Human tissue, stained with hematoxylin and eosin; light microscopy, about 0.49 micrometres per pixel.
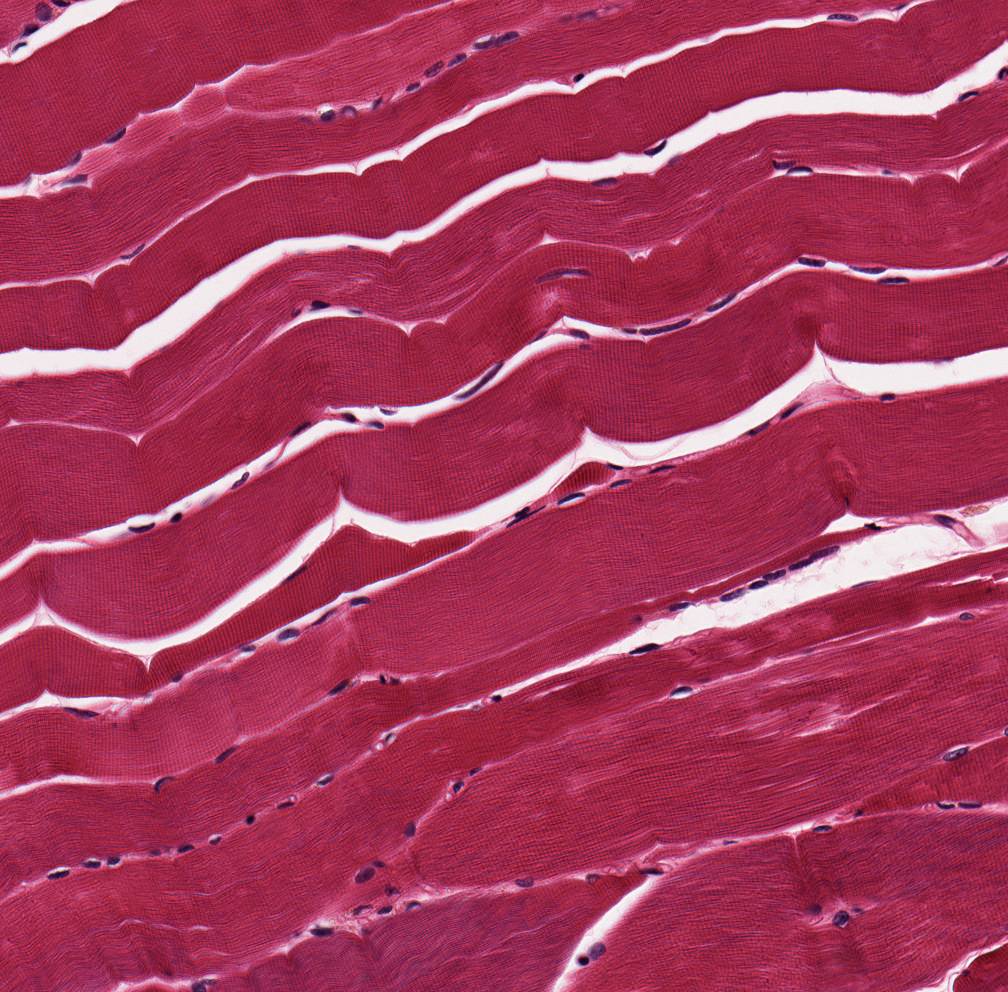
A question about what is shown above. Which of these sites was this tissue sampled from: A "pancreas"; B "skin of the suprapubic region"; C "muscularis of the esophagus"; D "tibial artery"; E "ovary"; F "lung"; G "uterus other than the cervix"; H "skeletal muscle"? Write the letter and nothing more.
H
